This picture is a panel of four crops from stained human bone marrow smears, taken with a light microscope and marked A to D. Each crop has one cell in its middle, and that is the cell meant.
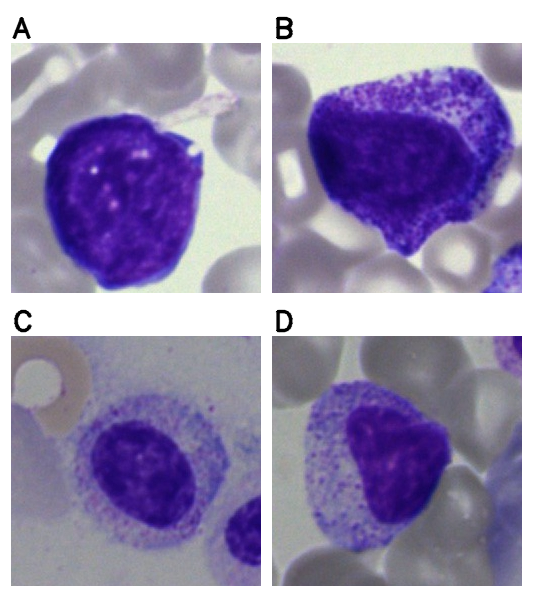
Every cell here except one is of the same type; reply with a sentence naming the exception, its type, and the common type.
Crop A is the only one that is a blast; all the others show myelocytes.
